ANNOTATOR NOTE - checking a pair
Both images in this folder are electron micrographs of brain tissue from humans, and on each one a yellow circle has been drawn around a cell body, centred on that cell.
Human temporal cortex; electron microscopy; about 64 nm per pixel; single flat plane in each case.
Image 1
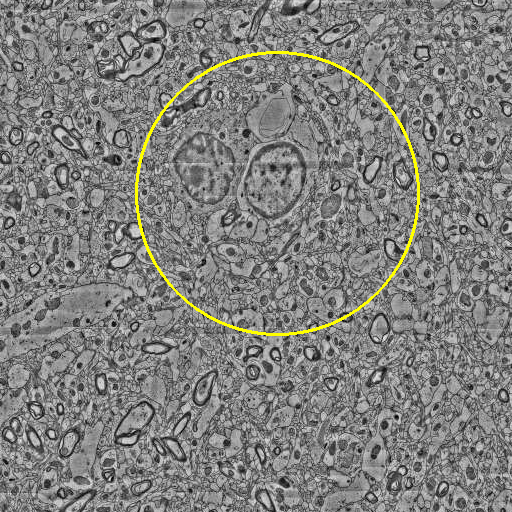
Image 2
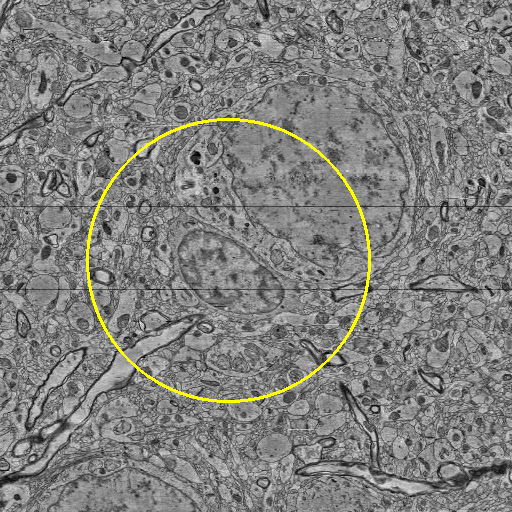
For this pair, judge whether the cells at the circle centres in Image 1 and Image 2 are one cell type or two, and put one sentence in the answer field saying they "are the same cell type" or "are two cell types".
For this pair, the cells at the circle centres in Images 1 and 2 are two cell types.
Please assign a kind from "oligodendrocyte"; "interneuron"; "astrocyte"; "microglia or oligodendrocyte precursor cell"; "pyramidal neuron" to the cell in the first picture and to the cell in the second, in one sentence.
In the first picture we have a microglial cell or oligodendrocyte precursor cell, and in the second, an oligodendrocyte.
